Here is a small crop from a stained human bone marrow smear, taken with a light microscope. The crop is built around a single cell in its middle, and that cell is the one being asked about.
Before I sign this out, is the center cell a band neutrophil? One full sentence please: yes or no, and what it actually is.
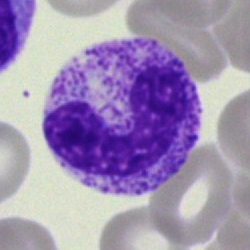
Yes, the centered cell in this field is a band neutrophil.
